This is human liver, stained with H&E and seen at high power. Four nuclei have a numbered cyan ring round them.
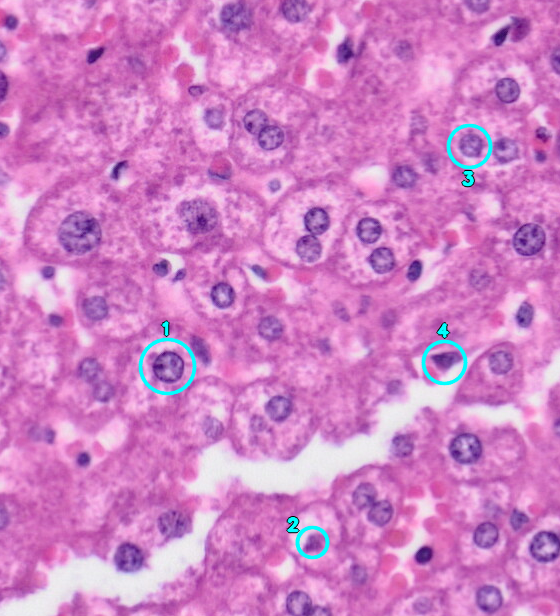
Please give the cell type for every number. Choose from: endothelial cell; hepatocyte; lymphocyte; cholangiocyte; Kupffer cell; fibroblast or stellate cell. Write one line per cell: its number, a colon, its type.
1: hepatocyte
2: hepatocyte
3: hepatocyte
4: Kupffer cell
